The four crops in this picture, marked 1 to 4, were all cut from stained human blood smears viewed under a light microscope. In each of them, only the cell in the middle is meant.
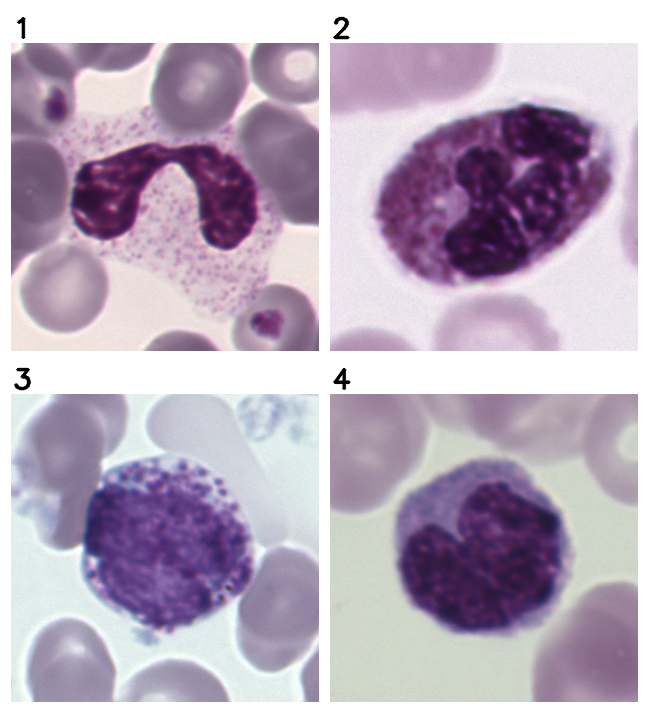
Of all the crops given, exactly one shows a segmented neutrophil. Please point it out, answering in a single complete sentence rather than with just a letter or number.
Crop 1 is the crop containing a segmented neutrophil.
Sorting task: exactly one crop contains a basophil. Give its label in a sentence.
Crop 3 is identified as the crop showing a basophil.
